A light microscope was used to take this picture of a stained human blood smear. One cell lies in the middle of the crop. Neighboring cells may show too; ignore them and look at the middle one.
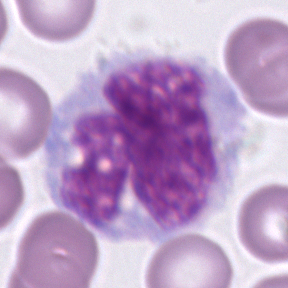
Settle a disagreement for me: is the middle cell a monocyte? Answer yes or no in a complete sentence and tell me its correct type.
Yes, a monocyte occupies the middle of the crop.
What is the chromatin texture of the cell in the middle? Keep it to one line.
This nucleus has coarsely clumped chromatin.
